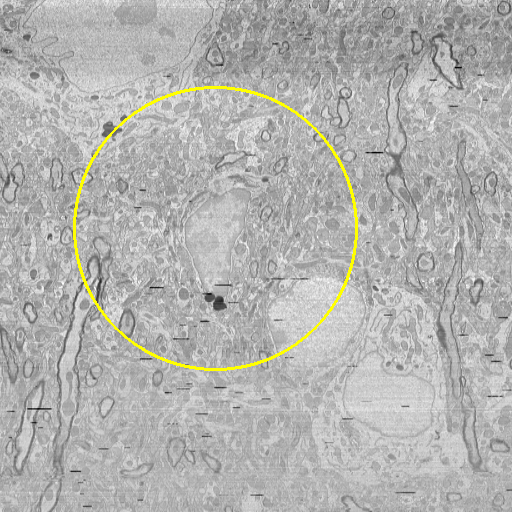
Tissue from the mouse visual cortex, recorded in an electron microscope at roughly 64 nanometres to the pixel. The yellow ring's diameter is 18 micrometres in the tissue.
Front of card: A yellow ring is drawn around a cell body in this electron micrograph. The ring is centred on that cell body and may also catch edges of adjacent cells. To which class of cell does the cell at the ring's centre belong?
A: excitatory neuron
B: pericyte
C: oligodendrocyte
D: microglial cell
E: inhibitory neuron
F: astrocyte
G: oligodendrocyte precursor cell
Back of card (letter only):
D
